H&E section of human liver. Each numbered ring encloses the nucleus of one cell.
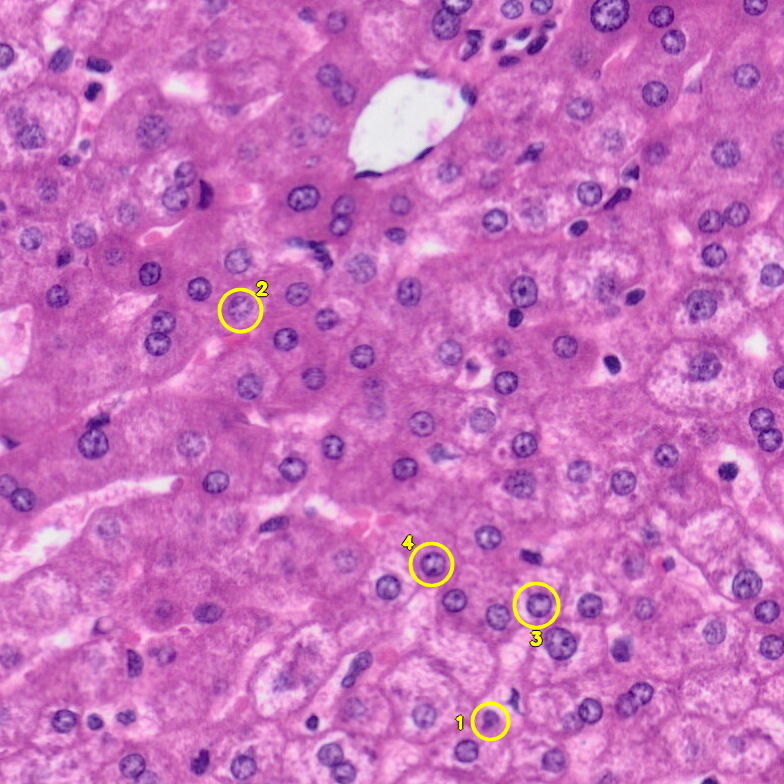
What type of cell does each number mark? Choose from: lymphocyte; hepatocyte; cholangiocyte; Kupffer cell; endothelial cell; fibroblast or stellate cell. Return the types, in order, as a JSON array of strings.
["Kupffer cell", "hepatocyte", "hepatocyte", "hepatocyte"]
